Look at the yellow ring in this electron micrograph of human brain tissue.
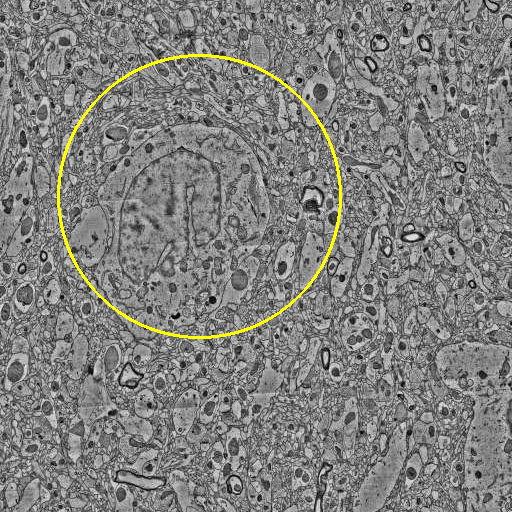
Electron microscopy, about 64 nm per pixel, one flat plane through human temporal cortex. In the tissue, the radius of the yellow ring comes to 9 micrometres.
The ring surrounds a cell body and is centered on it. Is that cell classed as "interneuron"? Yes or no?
Yes, that is its cell type.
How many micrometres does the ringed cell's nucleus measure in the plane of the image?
In this plane, the nucleus is roughly 9 by 6 micrometres.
